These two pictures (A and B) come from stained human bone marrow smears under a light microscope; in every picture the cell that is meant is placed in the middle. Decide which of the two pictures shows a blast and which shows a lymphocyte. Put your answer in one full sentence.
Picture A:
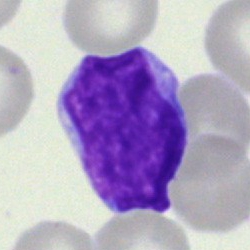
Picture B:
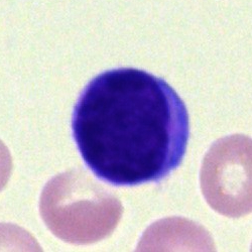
In picture A the cell is a blast; in picture B, a lymphocyte.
